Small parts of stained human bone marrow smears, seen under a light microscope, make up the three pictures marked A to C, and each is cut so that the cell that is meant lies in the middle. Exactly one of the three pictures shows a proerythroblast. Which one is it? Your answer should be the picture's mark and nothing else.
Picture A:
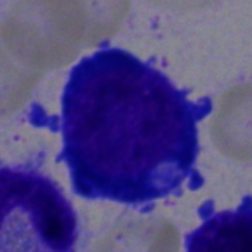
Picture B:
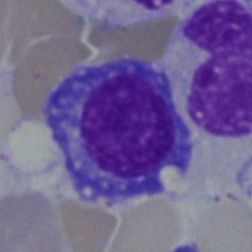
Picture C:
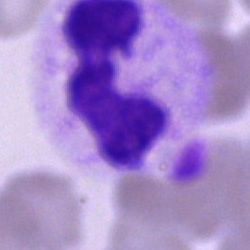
A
